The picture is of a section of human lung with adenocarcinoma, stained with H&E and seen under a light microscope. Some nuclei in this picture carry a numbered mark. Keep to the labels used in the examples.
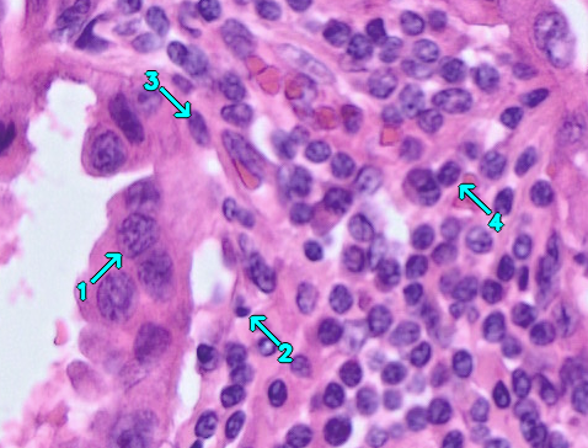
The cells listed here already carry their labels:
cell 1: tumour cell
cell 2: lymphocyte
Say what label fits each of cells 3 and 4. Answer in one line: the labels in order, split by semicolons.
lymphocyte; lymphocyte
